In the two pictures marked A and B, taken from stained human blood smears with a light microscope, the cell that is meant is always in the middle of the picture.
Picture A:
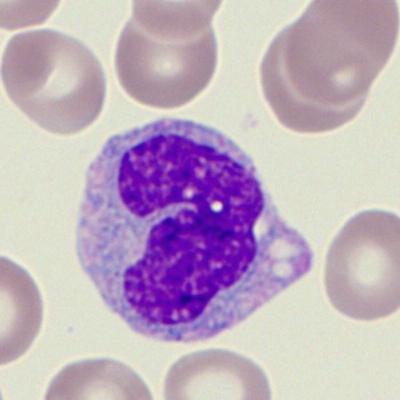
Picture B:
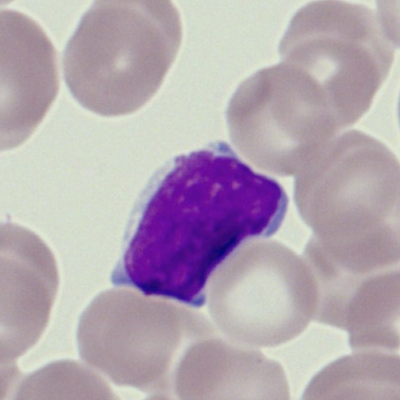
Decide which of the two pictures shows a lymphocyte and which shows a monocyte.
A: monocyte
B: lymphocyte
